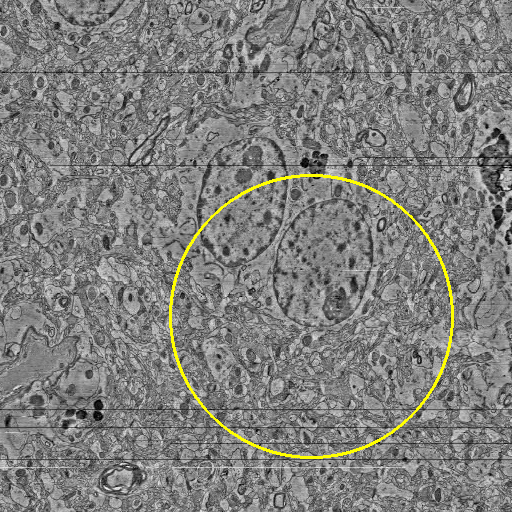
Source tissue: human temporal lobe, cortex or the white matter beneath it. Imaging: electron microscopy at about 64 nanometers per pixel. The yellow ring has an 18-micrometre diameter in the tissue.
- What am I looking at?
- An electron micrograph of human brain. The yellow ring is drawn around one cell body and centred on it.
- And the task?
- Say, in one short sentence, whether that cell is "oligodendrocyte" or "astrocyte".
The cell in the middle of the ring is an astrocyte.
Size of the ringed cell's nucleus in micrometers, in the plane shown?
Roughly 9 micrometres by 6 micrometres, in this plane.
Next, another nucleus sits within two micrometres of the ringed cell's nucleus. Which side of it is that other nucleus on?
The second nucleus is to the upper left of it.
